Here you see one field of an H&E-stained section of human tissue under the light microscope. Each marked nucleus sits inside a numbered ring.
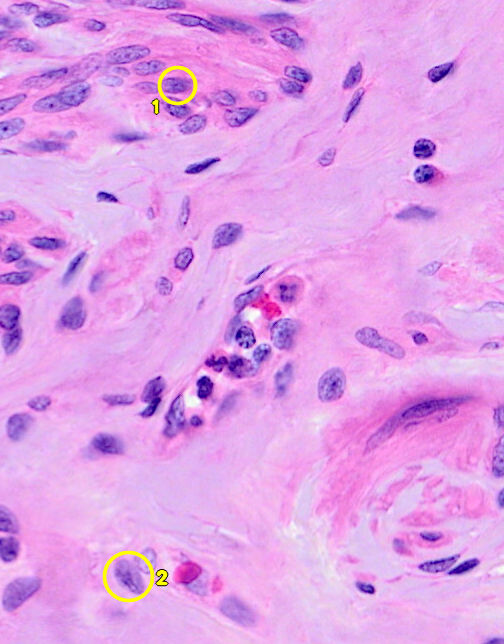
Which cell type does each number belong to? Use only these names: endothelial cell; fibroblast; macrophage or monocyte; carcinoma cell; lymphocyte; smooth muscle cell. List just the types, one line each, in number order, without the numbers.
smooth muscle cell
fibroblast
